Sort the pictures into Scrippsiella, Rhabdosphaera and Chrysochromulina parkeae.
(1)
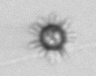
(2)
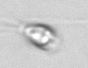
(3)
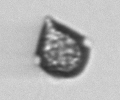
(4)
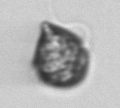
Rhabdosphaera: 1
Chrysochromulina parkeae: 2
Scrippsiella: 3, 4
